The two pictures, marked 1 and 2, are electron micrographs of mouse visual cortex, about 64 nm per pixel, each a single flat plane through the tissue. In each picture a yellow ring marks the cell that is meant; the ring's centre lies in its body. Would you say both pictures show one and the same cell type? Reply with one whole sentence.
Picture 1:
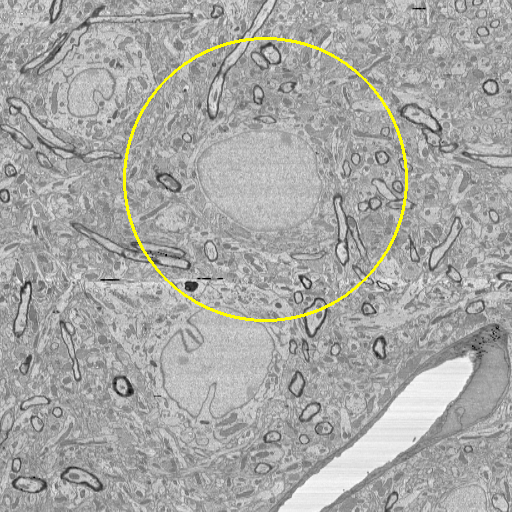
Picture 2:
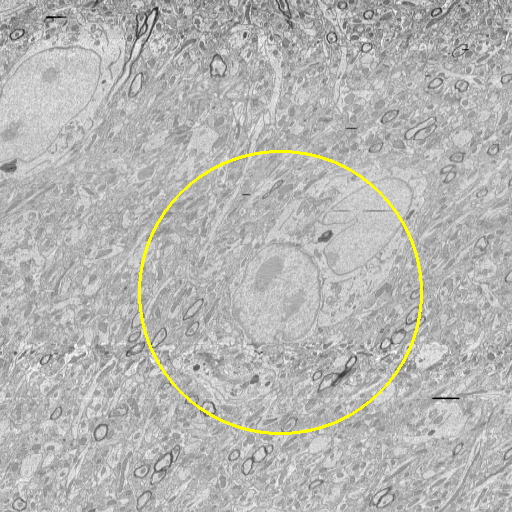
No; the cell in picture 1 is an astrocyte, while the one in picture 2 is an oligodendrocyte precursor cell.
